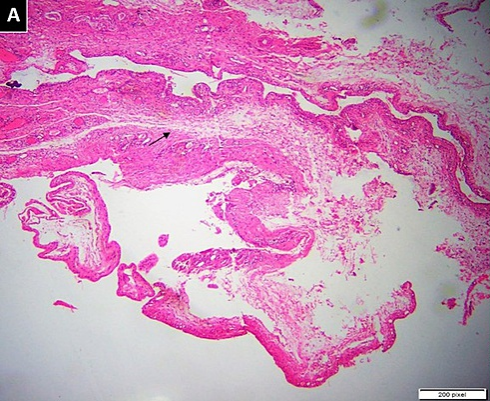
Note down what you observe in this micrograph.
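At low power, folded bands of pink fibrous tissue wind around open, empty spaces. These bands form a fibro collagenous cyst wall, and their inner surfaces have no distinct epithelial layer. In places the tissue turns pale and loose, with a wispy matrix and few cells, in contrast to the denser pink tissue around it. These pale patches are foci of myxoid change.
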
